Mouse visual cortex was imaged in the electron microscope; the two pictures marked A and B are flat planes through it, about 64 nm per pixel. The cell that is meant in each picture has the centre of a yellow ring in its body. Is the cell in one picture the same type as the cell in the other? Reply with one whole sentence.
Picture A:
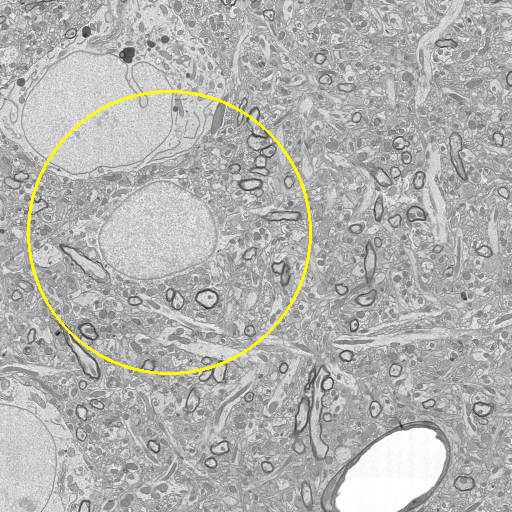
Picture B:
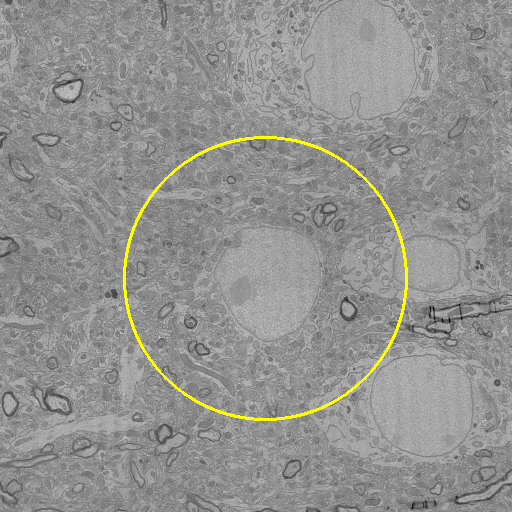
Yes, they are the same type: both are astrocytes.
